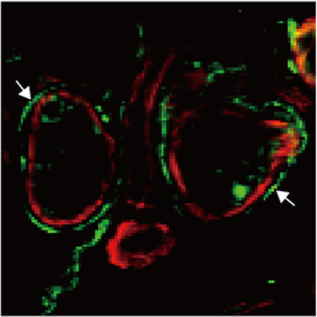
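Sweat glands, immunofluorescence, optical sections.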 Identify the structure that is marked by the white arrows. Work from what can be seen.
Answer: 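Dotted green lines lie just outside red rings. The green lines follow the outer curve of the red rings. So: nerve fibers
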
